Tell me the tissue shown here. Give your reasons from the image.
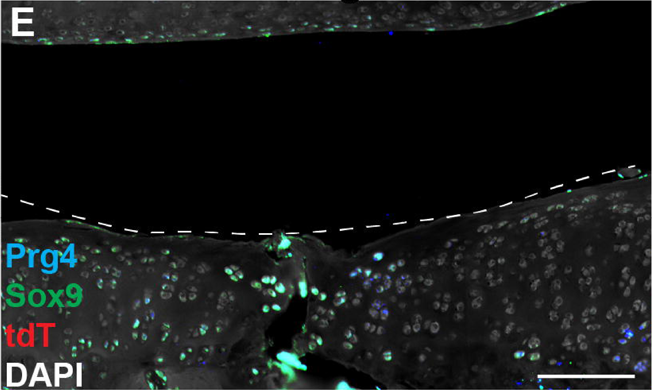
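Cartilage. Gray matrix below a dashed surface line containing scattered rounded cells. A dark joint space lies above the tissue.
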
